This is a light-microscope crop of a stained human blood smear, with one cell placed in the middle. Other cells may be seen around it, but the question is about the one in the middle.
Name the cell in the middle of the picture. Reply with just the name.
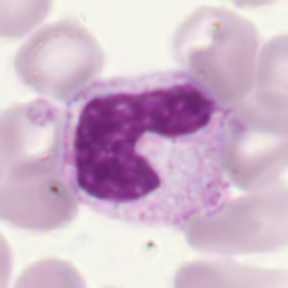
band neutrophil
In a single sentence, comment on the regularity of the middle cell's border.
Irregularity marks the cell border, whether as raggedness or as projections.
